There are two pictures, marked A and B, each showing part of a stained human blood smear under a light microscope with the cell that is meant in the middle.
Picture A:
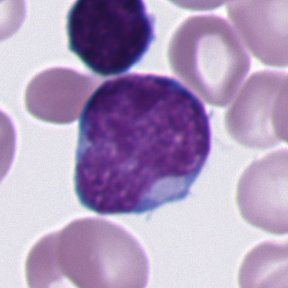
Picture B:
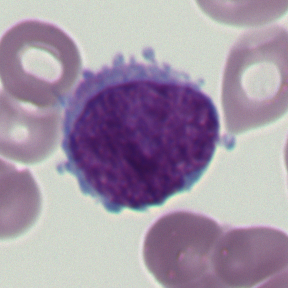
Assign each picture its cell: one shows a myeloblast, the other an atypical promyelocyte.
A: myeloblast
B: atypical promyelocyte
